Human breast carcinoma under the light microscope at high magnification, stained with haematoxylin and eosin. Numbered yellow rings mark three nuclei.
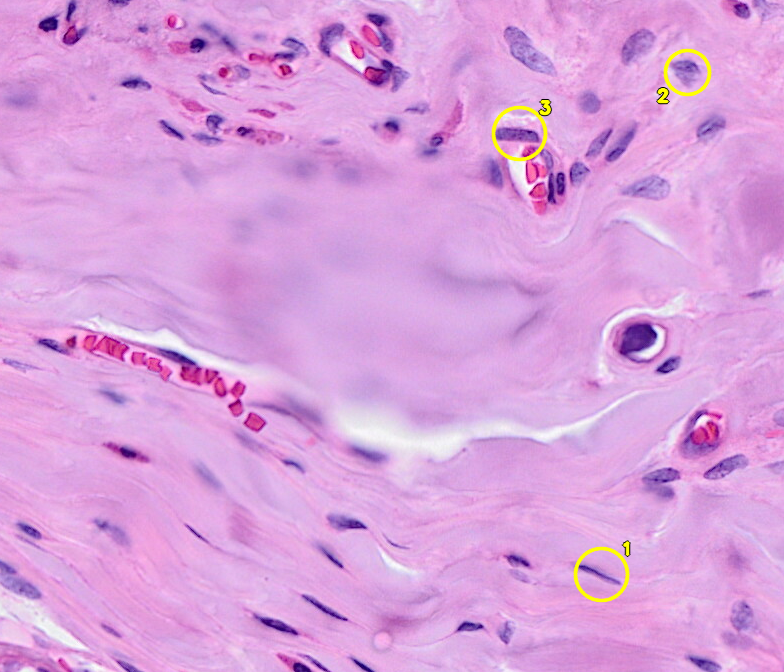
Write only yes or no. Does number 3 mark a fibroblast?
no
